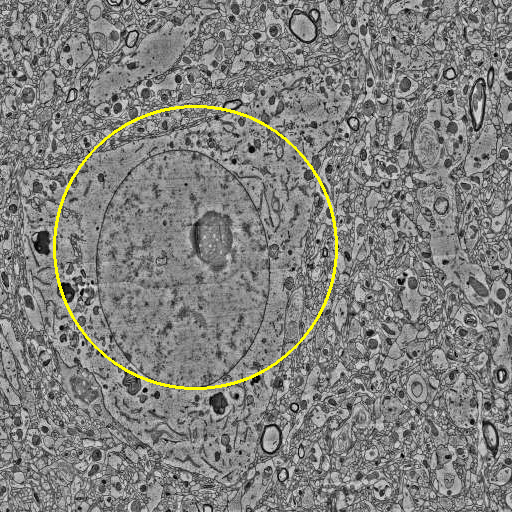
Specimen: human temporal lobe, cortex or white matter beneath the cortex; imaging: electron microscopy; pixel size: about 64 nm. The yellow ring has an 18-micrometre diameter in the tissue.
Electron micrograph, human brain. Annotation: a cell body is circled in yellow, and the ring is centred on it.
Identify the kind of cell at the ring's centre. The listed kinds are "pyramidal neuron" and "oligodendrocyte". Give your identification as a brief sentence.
The circled cell body is that of a pyramidal neuron.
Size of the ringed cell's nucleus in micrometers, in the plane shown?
In this plane, about 15 micrometres in length and 11 in width.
